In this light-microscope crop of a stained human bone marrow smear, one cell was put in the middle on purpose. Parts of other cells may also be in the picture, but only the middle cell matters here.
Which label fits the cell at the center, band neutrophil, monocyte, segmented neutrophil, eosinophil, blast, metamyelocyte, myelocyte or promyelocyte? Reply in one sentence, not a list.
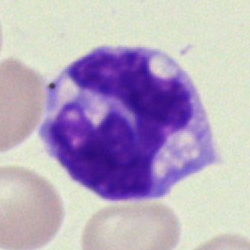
By type, the central cell of the crop is a monocyte.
